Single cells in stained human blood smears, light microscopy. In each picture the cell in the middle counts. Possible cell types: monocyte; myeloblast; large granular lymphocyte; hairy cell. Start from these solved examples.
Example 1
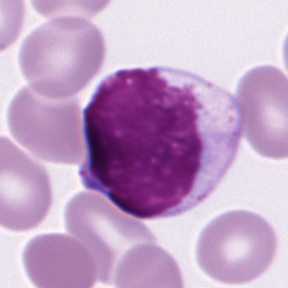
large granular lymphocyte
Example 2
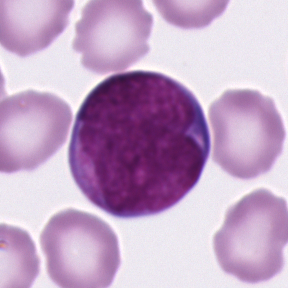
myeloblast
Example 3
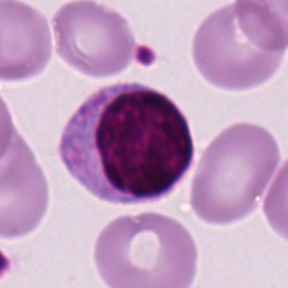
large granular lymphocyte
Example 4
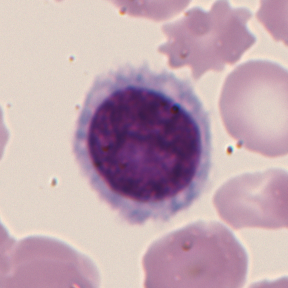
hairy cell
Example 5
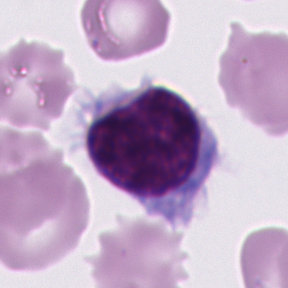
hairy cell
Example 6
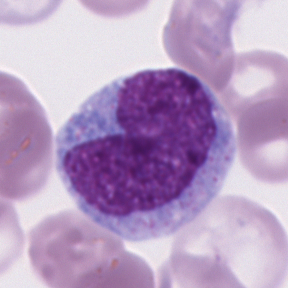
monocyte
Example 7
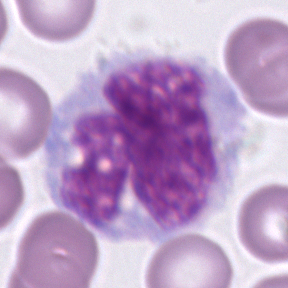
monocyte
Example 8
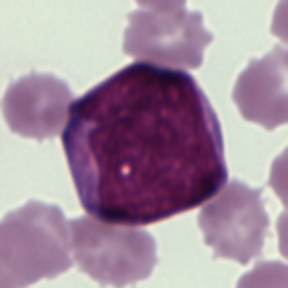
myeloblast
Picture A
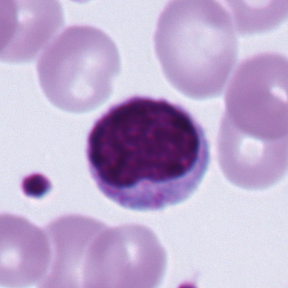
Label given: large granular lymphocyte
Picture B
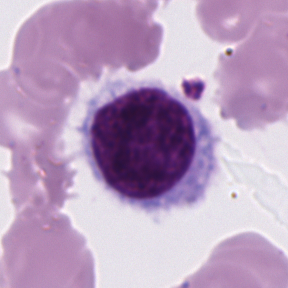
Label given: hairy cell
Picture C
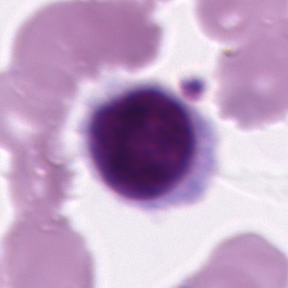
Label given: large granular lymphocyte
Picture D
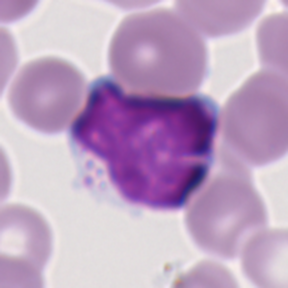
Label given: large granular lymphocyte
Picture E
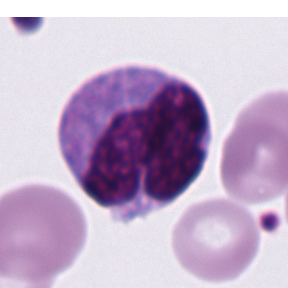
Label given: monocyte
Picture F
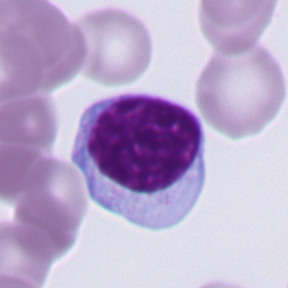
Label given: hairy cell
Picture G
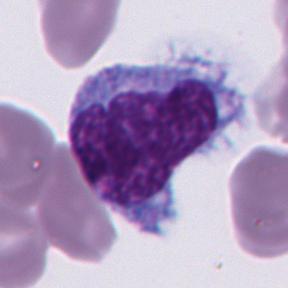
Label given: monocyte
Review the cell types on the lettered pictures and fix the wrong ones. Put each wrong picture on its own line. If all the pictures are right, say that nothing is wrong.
C: hairy cell, not large granular lymphocyte
F: large granular lymphocyte, not hairy cell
